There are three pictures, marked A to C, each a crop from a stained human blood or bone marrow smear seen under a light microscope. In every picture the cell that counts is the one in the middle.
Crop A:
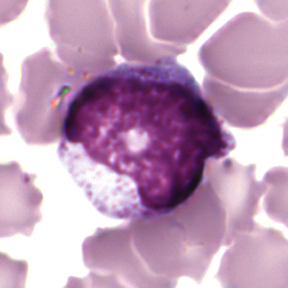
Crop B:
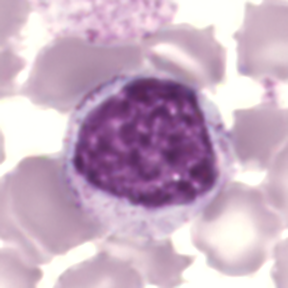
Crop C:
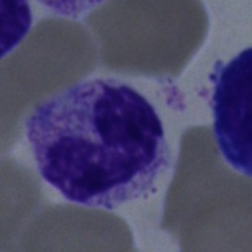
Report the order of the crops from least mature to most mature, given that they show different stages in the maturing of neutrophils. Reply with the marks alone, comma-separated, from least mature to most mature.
B, A, C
